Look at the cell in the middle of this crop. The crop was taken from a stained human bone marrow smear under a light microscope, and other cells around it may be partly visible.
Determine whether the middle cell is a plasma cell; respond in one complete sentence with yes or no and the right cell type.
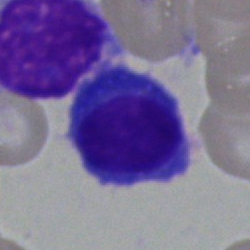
Yes, the cell of interest in the middle is a plasma cell.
